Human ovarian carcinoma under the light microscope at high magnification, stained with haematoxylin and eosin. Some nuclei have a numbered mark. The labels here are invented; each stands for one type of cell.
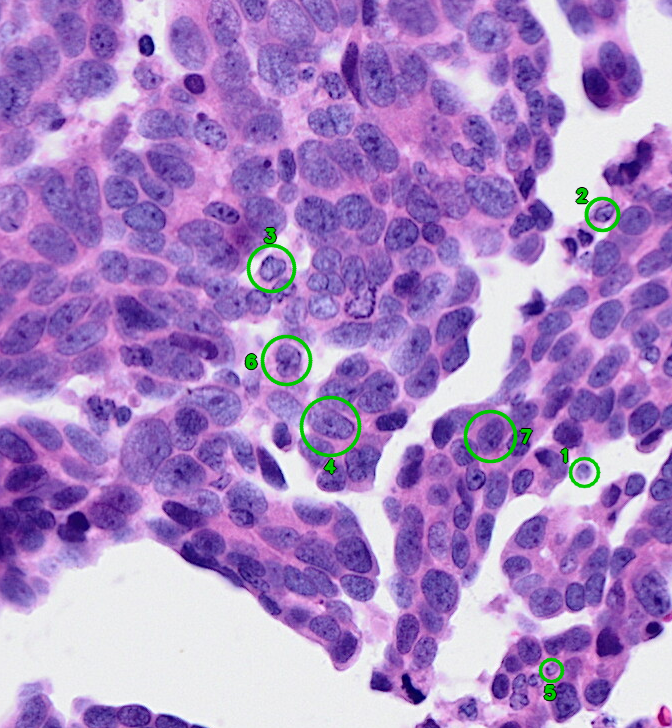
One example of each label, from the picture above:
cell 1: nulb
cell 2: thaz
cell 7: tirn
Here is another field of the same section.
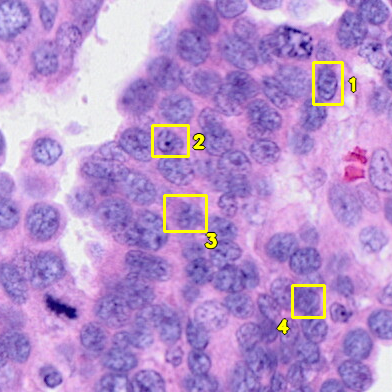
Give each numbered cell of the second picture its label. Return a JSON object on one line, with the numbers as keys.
{"1": "tirn", "2": "thaz", "3": "tirn", "4": "tirn"}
